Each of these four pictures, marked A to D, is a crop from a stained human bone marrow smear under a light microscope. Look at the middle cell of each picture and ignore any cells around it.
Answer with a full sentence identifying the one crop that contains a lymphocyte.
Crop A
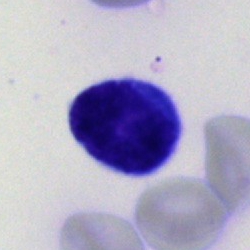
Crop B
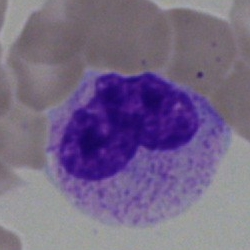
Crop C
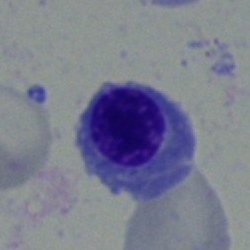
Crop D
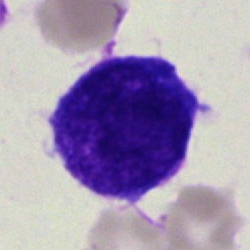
Crop A, of the crops presented, is the one showing a lymphocyte.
